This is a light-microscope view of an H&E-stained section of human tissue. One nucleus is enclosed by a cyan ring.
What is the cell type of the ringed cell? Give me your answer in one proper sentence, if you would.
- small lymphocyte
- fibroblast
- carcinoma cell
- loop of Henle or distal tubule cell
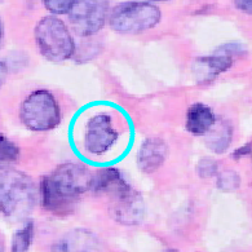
By its classification, the ringed cell is a carcinoma cell.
